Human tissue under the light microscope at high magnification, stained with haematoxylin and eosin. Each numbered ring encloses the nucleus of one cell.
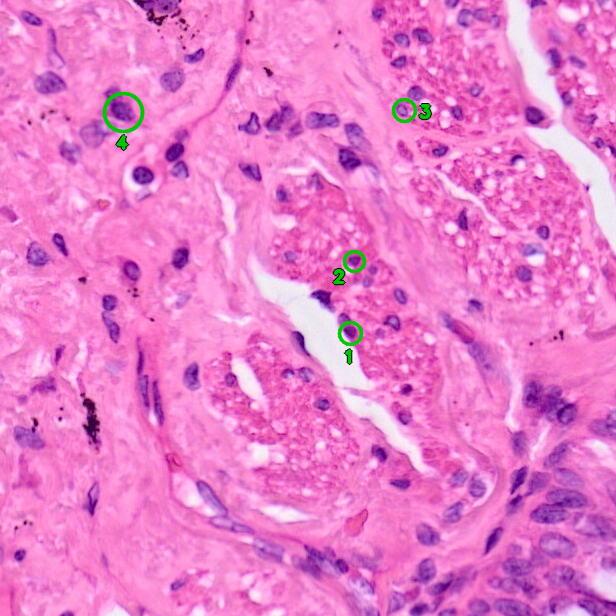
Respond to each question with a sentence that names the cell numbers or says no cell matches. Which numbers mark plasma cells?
The cell marked by number 4 is a plasma cell; the other marked cells are not.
